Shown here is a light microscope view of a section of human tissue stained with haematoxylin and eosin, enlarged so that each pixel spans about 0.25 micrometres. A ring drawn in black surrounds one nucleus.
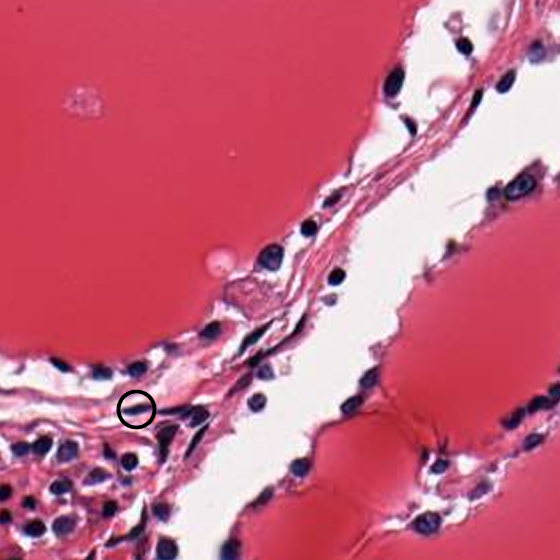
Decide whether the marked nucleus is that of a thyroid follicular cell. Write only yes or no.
no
